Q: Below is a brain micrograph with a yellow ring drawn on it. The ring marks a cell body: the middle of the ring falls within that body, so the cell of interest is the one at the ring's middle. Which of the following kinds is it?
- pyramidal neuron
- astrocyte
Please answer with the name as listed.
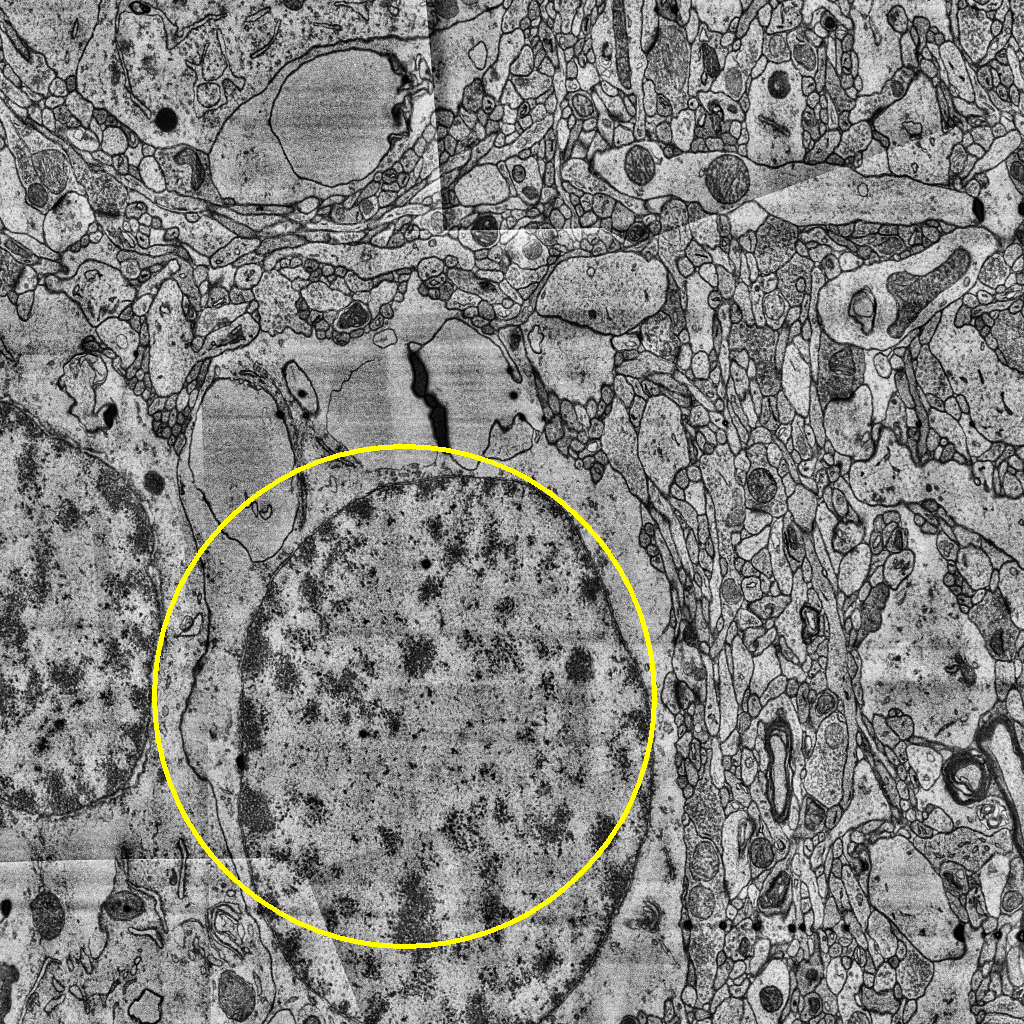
astrocyte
